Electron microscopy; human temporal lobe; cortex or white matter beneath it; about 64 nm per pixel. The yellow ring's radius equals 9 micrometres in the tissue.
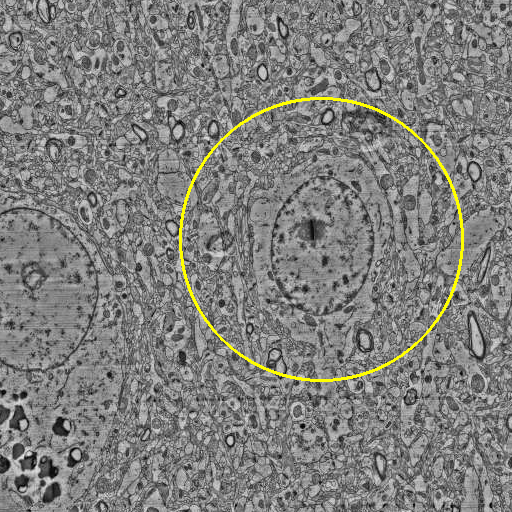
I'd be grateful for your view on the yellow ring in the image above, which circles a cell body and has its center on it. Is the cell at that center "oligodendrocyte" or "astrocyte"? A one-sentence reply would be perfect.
The cell at the center of the yellow ring is an astrocyte.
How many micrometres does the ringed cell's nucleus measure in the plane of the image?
In this plane the nucleus measures roughly 9 by 7 micrometres.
